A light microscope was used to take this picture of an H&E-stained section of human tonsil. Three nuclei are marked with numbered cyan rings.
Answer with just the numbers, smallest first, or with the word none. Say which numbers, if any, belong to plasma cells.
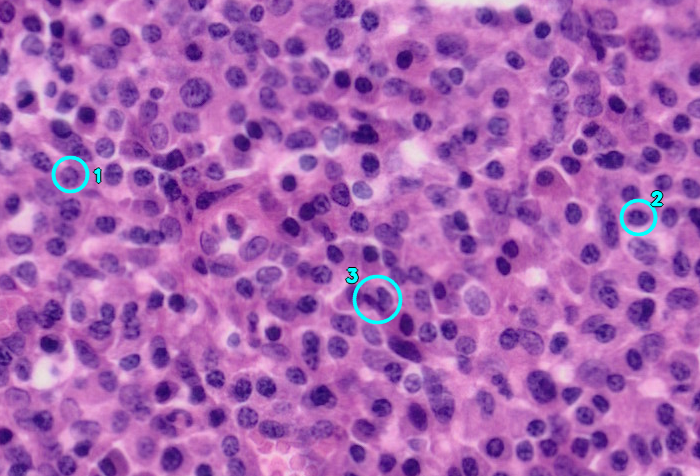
1, 2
